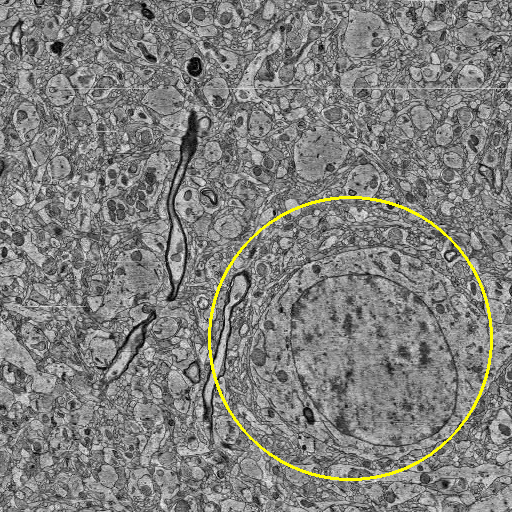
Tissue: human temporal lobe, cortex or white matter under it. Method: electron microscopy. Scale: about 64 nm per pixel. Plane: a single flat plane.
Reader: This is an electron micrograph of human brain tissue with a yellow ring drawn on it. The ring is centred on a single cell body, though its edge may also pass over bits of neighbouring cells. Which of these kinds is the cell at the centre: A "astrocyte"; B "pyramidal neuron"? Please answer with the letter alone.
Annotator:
B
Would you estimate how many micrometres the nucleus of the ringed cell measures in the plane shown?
The ringed cell's nucleus measures approximately 12 by 10 micrometres in this plane.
